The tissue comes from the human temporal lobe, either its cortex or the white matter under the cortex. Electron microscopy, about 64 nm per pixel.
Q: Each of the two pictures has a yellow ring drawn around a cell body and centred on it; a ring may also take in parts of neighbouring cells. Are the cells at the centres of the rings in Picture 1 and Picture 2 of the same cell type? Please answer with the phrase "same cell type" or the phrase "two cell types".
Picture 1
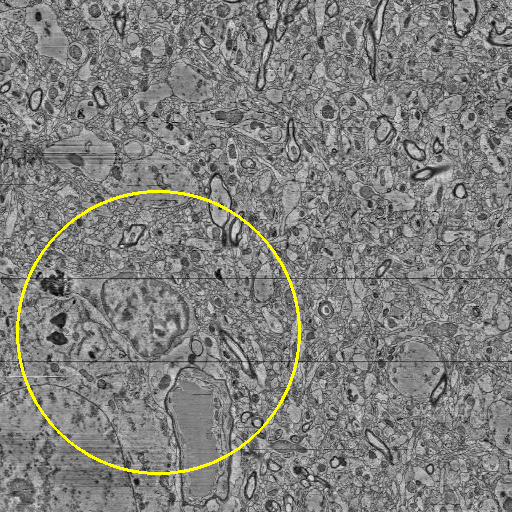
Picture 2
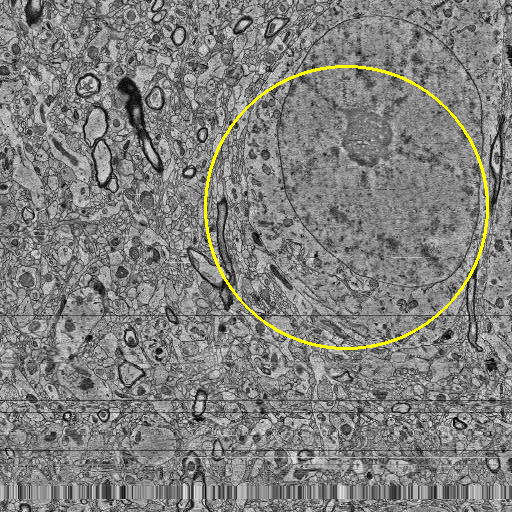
two cell types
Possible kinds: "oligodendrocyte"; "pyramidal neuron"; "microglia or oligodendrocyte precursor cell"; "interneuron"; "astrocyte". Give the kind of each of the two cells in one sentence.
The cell in the second picture is a pyramidal neuron, and that in the first is an oligodendrocyte.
